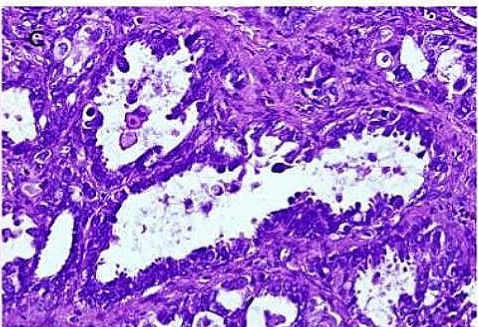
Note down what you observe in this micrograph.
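This is a high view of a carcinoma forming glands, whose lining is made of hobnail-like cancer cells. The glands are irregular and open, with pale, partly empty lumens. Their lining cells have large, dark purple, irregular nuclei, and several of them bulge into the lumen instead of sitting flat in a row. Between the glands lies a thin, pink, cellular stroma. The crowding, the large nuclei and the bulging cells are far from the orderly lining of a normal gland.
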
